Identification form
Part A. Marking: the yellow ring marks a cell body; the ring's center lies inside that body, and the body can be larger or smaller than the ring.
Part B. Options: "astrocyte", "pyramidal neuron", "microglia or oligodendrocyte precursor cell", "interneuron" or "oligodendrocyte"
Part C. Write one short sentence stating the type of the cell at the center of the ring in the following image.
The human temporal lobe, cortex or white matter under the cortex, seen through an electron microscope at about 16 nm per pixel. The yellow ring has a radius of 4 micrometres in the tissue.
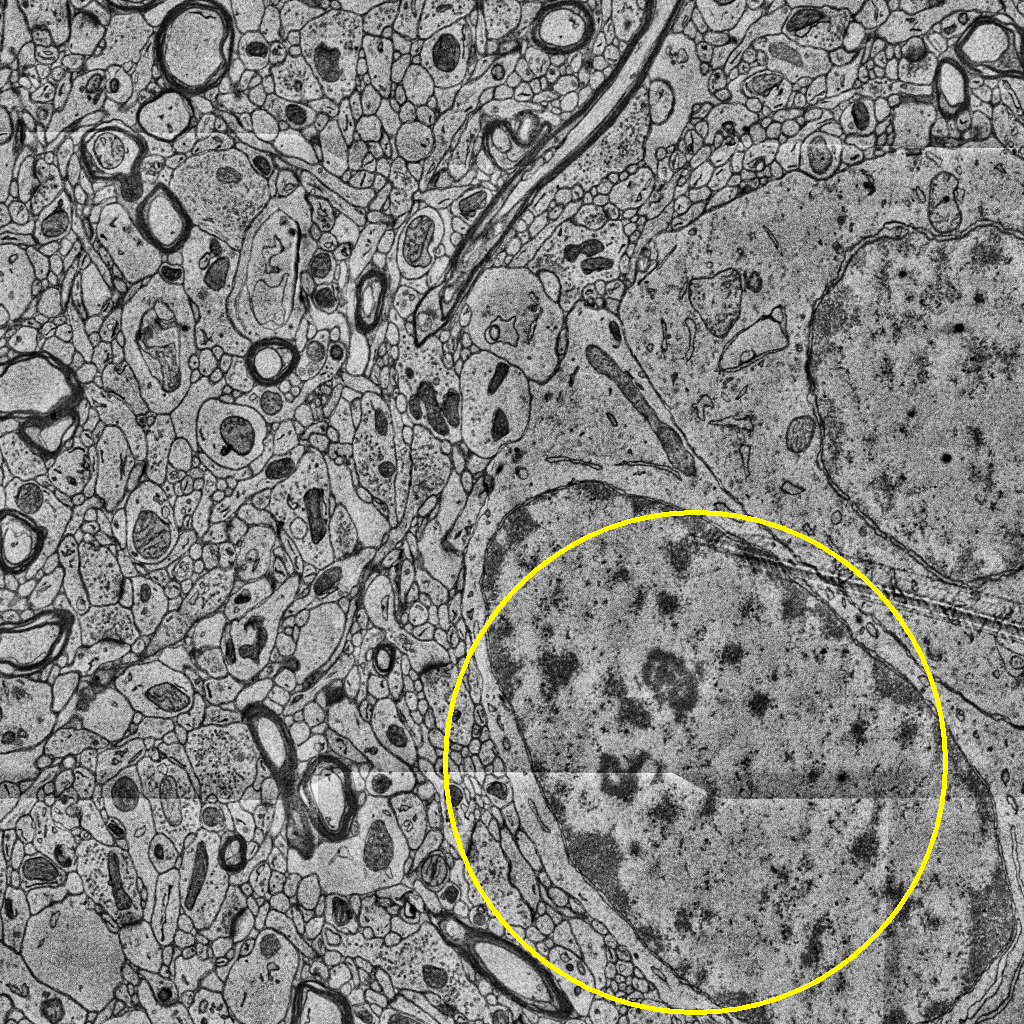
The center of the ring holds a microglial cell or oligodendrocyte precursor cell.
